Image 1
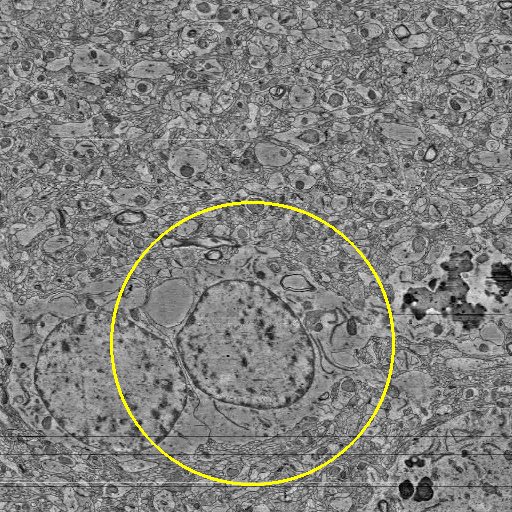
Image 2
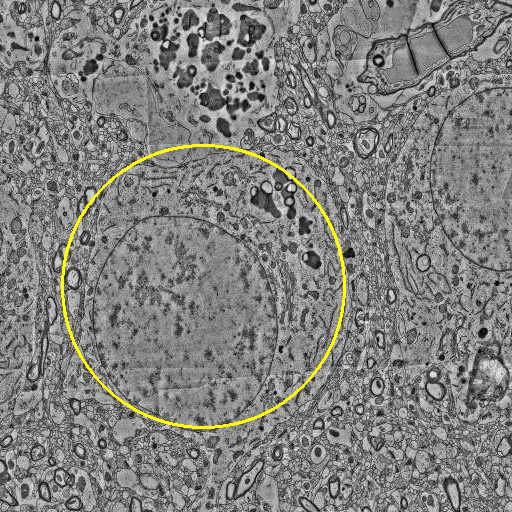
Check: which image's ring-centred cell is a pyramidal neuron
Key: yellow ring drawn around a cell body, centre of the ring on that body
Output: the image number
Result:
2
